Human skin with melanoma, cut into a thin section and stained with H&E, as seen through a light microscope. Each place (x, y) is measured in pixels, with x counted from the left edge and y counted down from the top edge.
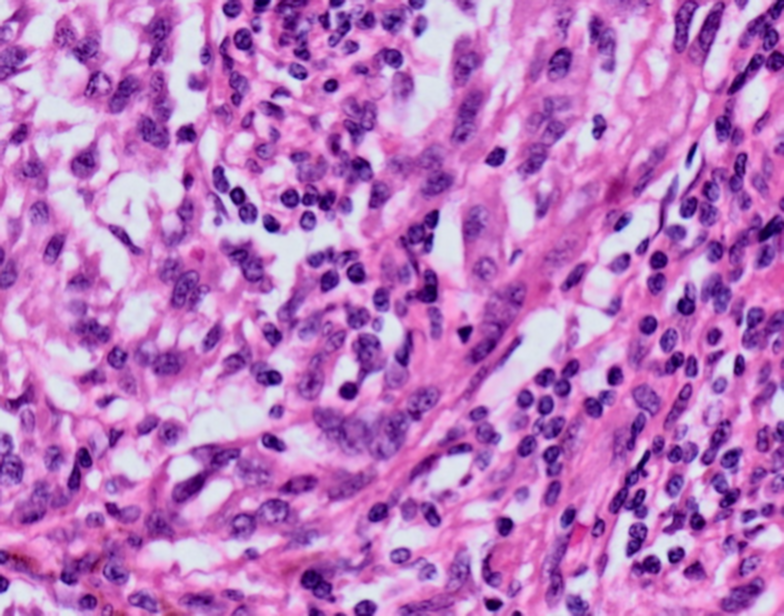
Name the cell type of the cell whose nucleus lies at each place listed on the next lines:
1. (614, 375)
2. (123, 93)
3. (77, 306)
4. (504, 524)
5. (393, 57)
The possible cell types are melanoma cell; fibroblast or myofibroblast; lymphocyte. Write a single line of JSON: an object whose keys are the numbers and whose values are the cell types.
{"1": "lymphocyte", "2": "melanoma cell", "3": "melanoma cell", "4": "lymphocyte", "5": "lymphocyte"}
